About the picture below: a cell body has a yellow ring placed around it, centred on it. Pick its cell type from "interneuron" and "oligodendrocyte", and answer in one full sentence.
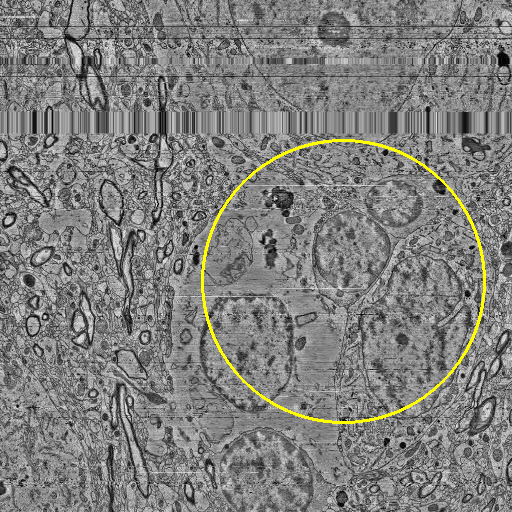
In the picture, an oligodendrocyte is the cell sitting at the centre of the yellow ring.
